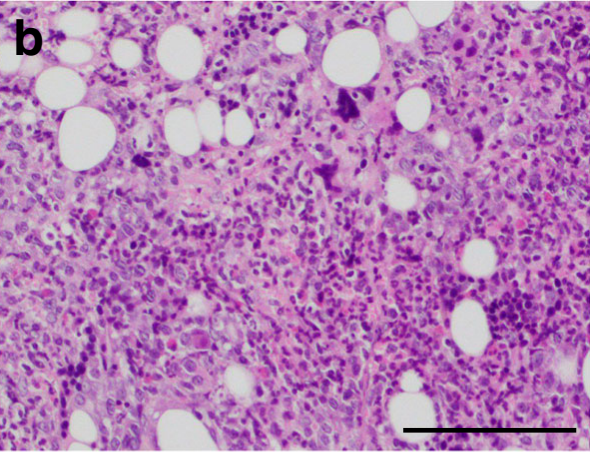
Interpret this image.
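This is bone marrow that is packed with cells, with only scattered round empty fat spaces left between them. Among the many small to medium cells with dark purple round or oval nuclei stand several much larger cells with big, dark, lobulated nuclei, the megakaryocytes. Some of these giant cells lie close together near the fat spaces. In places the background between the cells looks pale pink and streaming, fitting with fibrosis of the marrow.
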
